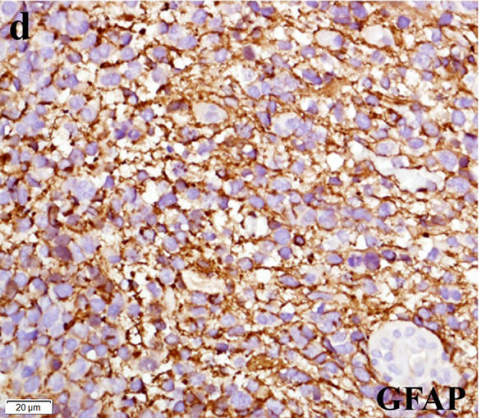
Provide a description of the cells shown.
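Densely packed tumour cells with blue-stained oval nuclei are surrounded by a fine brown meshwork of fibrillary processes. The brown stain lies in the cytoplasm and processes between nuclei and covers nearly the whole field, rather than a few scattered cells. A small round vessel-like structure sits at the lower right within the stained tissue.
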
